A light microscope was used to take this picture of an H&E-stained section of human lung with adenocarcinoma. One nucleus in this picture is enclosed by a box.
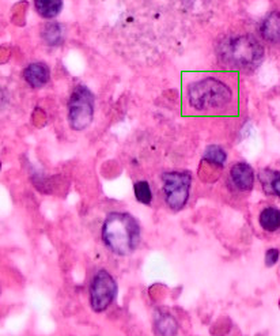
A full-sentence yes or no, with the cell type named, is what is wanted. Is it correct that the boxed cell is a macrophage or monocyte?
Yes, to name the boxed cell a macrophage or monocyte is correct.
